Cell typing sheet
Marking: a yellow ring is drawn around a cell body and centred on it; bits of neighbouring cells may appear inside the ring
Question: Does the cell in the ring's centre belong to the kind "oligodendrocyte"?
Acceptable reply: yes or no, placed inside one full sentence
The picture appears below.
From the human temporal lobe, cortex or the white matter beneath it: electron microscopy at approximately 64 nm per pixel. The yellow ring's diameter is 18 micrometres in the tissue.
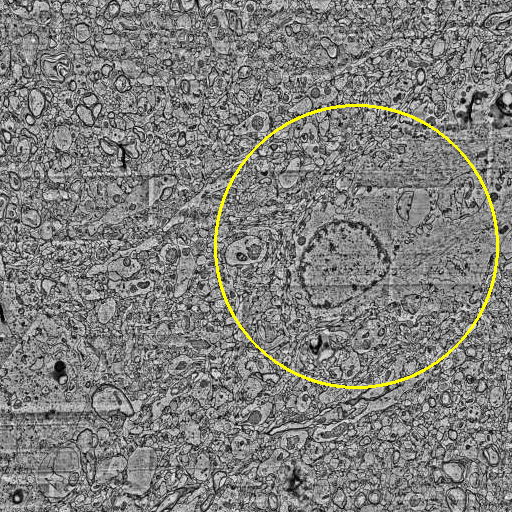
No, the cell at the centre of the ring belongs to a different kind.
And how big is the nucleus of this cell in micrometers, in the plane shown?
The nucleus appears roughly 6 by 5 micrometres in this plane.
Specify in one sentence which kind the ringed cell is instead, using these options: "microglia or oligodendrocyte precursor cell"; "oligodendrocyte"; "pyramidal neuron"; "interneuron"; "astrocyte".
Instead, the ring surrounds an astrocyte in this picture.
